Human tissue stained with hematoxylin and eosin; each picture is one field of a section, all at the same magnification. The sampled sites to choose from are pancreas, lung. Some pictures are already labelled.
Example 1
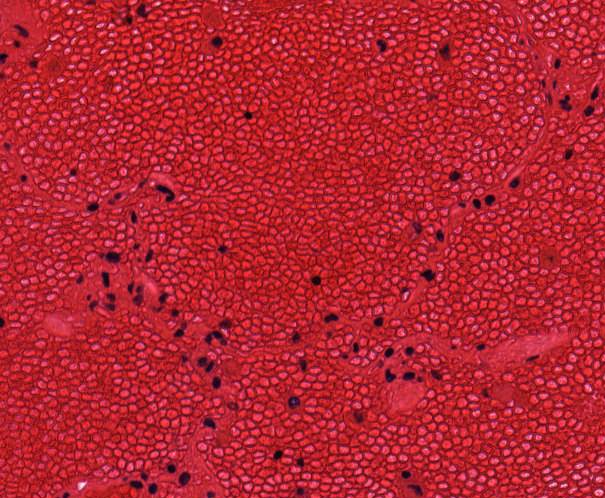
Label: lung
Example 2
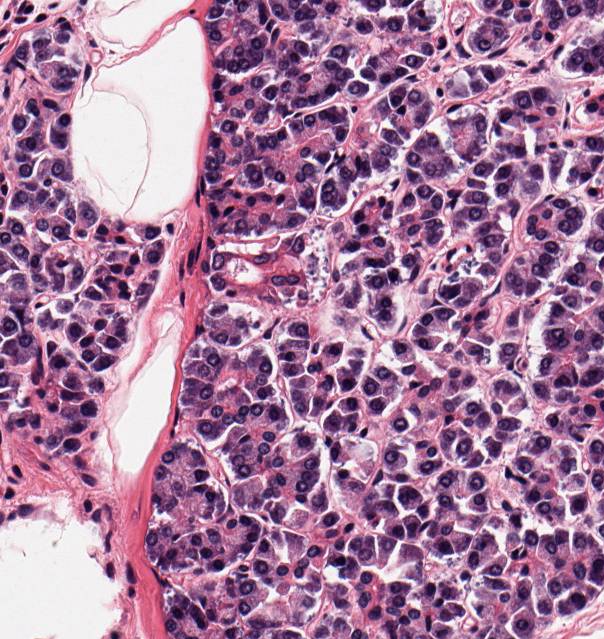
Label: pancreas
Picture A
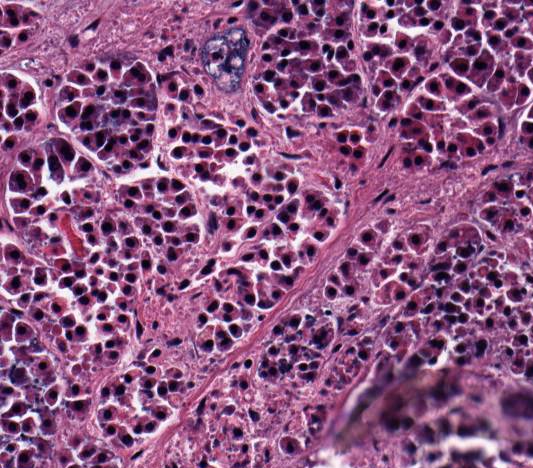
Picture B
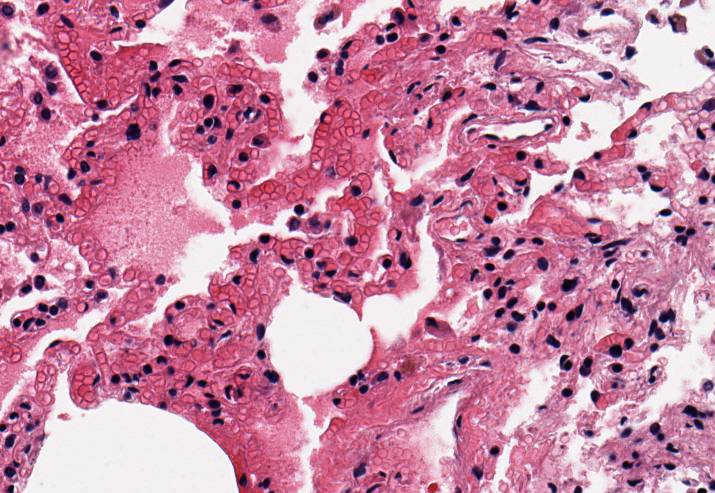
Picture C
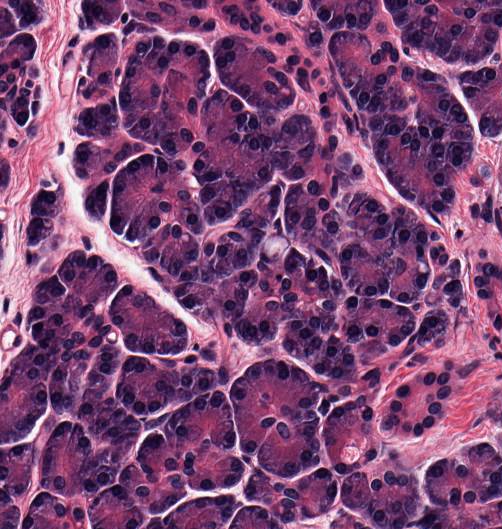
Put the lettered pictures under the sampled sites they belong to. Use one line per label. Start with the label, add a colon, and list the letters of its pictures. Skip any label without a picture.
pancreas: A, C
lung: B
